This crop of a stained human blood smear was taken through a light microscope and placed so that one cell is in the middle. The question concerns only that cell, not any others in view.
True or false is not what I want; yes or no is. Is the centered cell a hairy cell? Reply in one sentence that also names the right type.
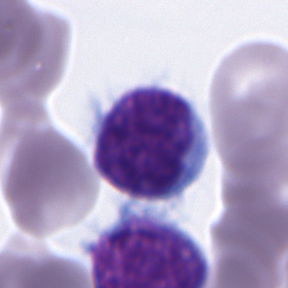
Yes, the central cell of this crop corresponds to a hairy cell.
